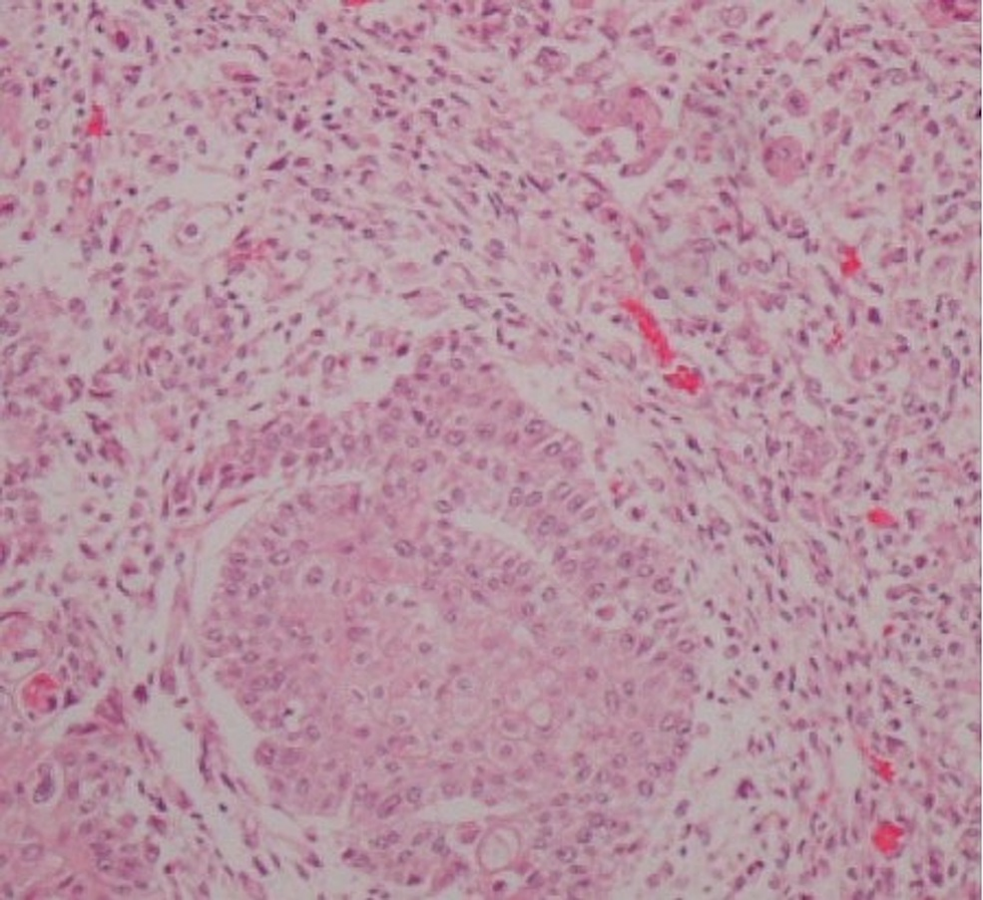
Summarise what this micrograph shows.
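A tumor made of two intermingled components: a central nest of cohesive epithelial cells surrounded by densely cellular stroma. The epithelial cells are polygonal, with round to oval pale nuclei, visible nucleoli and ample pink cytoplasm, and they line a slit-like lumen within the nest. The surrounding stromal cells are spindle to oval with elongated, darker nuclei, arranged in streaming bundles with scattered red blood cells between them.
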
